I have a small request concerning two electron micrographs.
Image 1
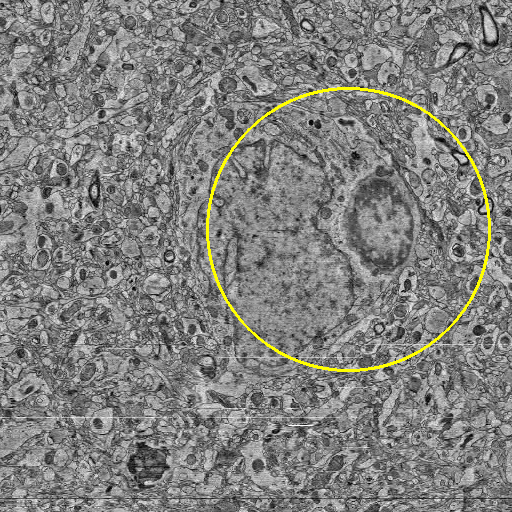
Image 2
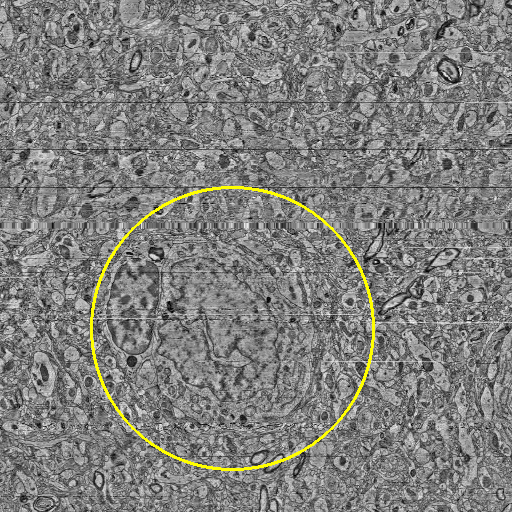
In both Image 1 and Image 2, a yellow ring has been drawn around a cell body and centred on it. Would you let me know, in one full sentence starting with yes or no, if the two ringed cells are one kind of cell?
No, the cells ringed in Image 1 and Image 2 are two kinds of cell.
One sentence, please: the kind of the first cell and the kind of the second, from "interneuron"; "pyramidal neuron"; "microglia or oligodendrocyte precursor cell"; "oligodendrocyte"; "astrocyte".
The ring in the first picture surrounds an oligodendrocyte, and the ring in the second surrounds an interneuron.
